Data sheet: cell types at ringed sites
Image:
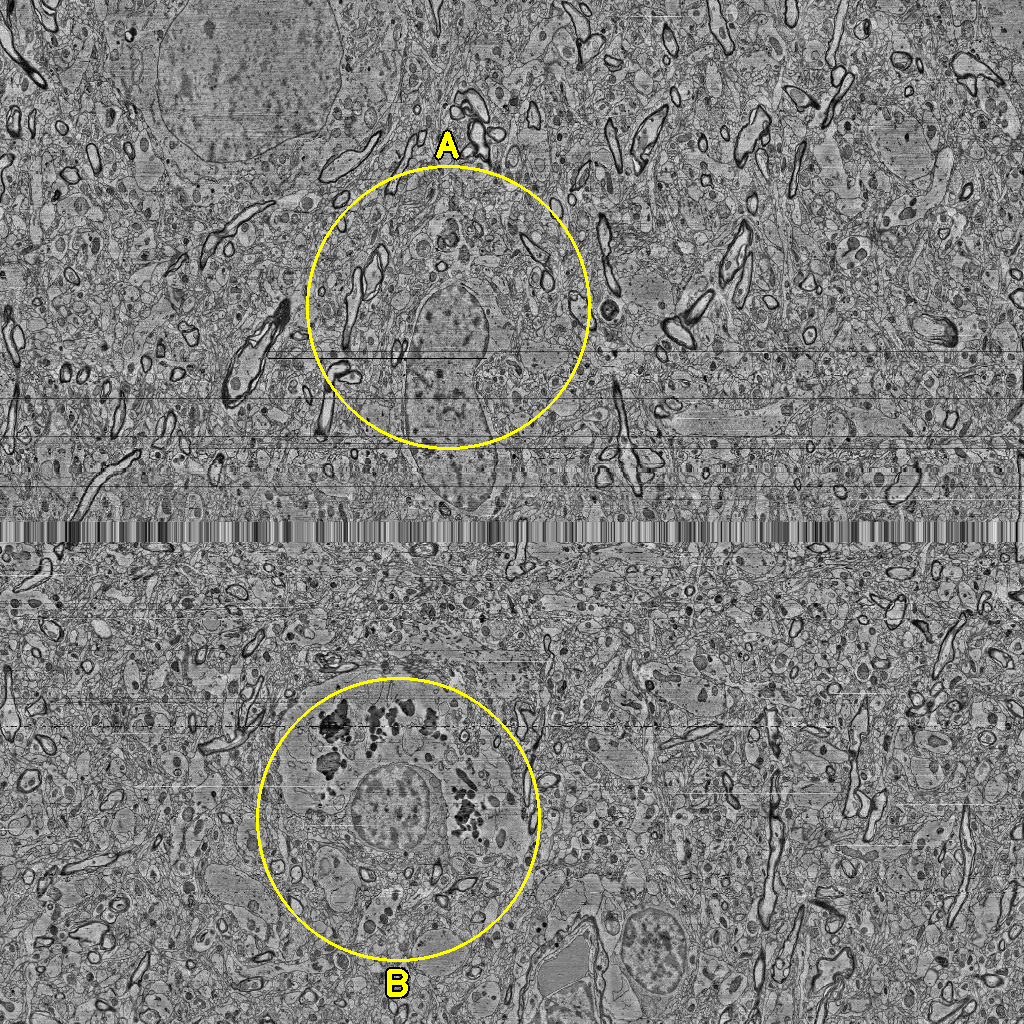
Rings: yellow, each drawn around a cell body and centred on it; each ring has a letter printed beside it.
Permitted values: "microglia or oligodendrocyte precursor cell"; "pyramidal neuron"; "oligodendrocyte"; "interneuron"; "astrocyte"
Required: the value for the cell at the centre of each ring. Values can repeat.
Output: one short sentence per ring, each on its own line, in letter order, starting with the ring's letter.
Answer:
Ring A has a microglial cell or oligodendrocyte precursor cell at its centre.
Ring B has an oligodendrocyte at its centre.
